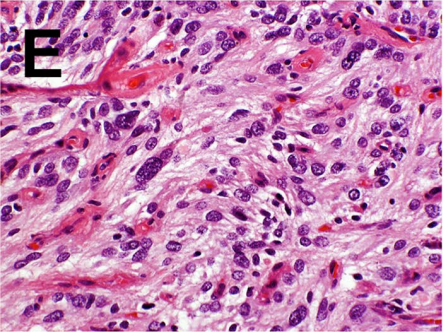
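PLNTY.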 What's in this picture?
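Tumour tissue with spindled astrocytic features: cells with elongated, oval to spindle-shaped nuclei arranged in loose, streaming fascicles within a pink fibrillary stroma. Nuclei vary in size, some larger and more hyperchromatic, with finely granular chromatin. Cytoplasm is scant and merges into pale pink processes. Numerous vessels with thickened pink walls and red blood cells in their lumens are interspersed among the cells. The overall cellularity is moderate to high.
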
